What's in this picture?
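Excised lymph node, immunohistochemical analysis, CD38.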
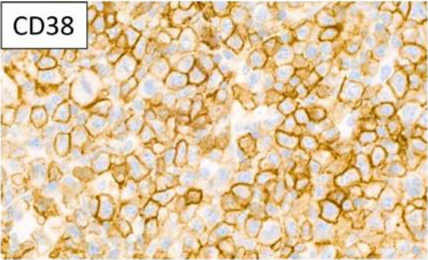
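Most of the crowded large plasmablast-like cells show a crisp brown ring outlining their cell membranes, giving a honeycomb-like pattern. Their nuclei are round and pale blue within the brown rims.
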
